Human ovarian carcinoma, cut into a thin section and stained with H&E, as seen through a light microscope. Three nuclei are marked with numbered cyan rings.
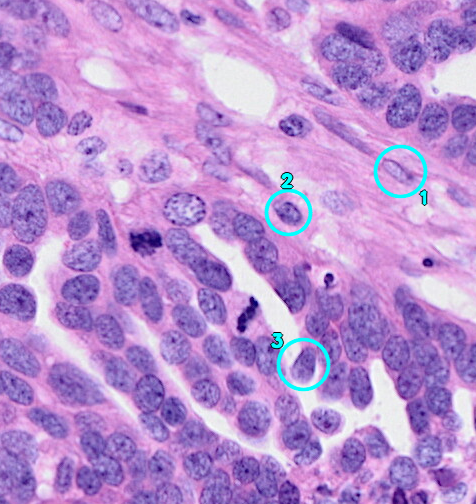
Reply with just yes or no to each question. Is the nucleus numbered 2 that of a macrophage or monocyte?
yes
